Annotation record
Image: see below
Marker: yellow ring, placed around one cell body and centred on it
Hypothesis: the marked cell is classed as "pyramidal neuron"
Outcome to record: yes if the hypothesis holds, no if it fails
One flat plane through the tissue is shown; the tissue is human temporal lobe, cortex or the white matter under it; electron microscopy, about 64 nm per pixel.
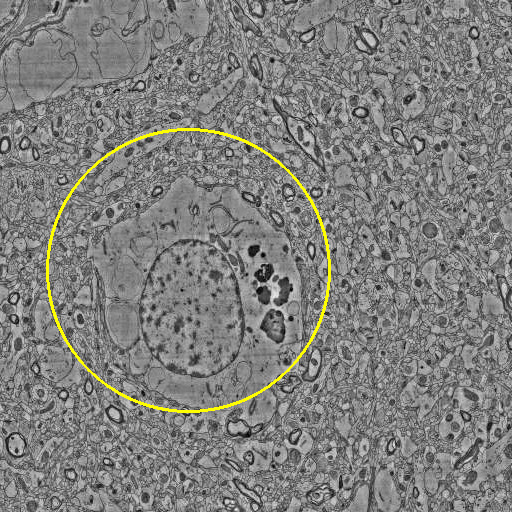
no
